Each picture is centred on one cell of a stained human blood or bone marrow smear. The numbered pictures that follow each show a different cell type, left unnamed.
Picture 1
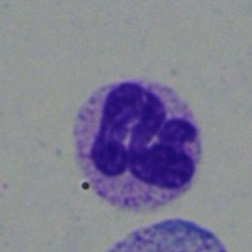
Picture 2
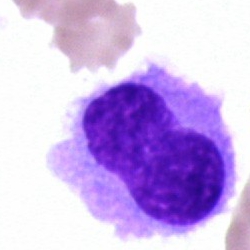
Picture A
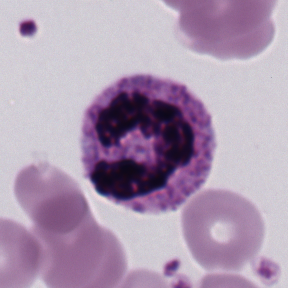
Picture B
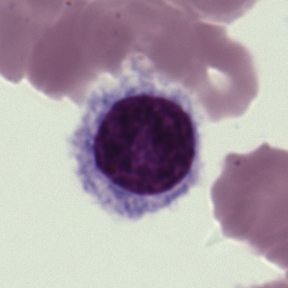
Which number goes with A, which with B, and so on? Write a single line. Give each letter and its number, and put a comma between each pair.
A 1, B 2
